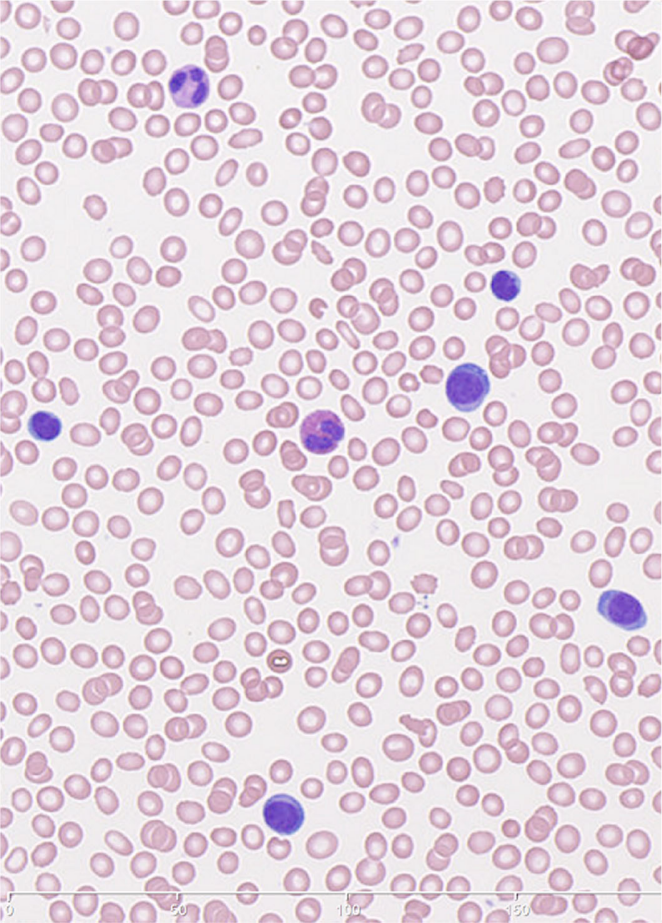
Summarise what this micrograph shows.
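Peripheral blood smear with many pale pink, round red blood cells in a monolayer and scattered nucleated white cells. Most of the white cells are round, medium-sized cells with a dense, dark purple round nucleus that fills much of the cell, often lying off-centre, and a rim of deep blue cytoplasm. This gives them a high nuclear to cytoplasmic ratio. A few are small with only a thin cytoplasmic rim. Near the top lies a granulocyte with a lobed nucleus and paler cytoplasm. Near the centre lies a larger cell with purplish granular cytoplasm. Small platelets are scattered between the red cells.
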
